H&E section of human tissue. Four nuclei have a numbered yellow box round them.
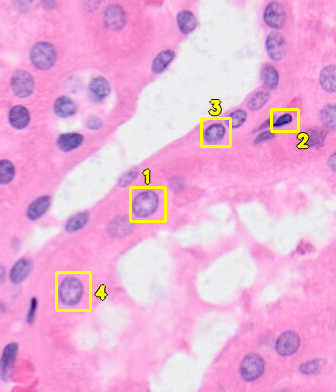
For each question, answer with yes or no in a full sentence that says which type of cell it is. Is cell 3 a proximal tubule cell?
No, a collecting duct cell, not a proximal tubule cell, is the cell with number 3.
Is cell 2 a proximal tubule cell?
No, an endothelial cell, not a proximal tubule cell, is the cell with number 2.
